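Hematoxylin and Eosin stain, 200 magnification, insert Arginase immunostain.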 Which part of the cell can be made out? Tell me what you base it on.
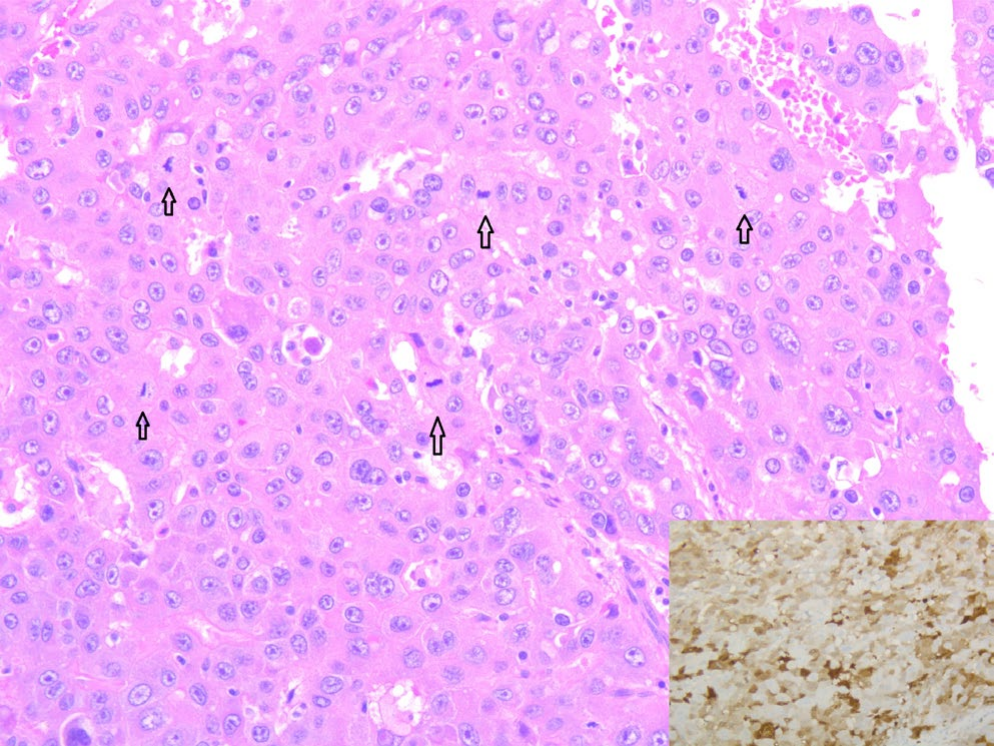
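Prominent nucleoli. Most nuclei are round and vesicular. Many nuclei contain a distinct dark purple central nucleolus.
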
